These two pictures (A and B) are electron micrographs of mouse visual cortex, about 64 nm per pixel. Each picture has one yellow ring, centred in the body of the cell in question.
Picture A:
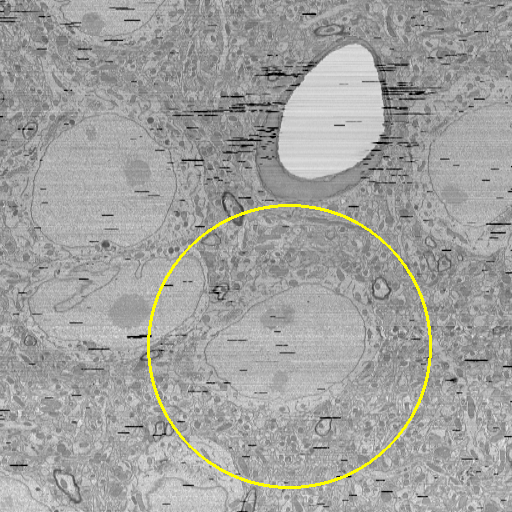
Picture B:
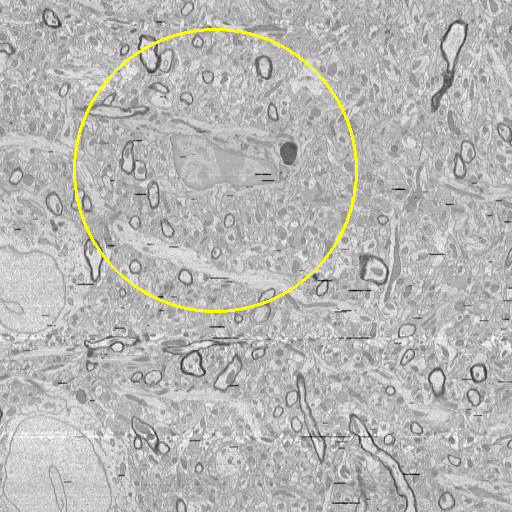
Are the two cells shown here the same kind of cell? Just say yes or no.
no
